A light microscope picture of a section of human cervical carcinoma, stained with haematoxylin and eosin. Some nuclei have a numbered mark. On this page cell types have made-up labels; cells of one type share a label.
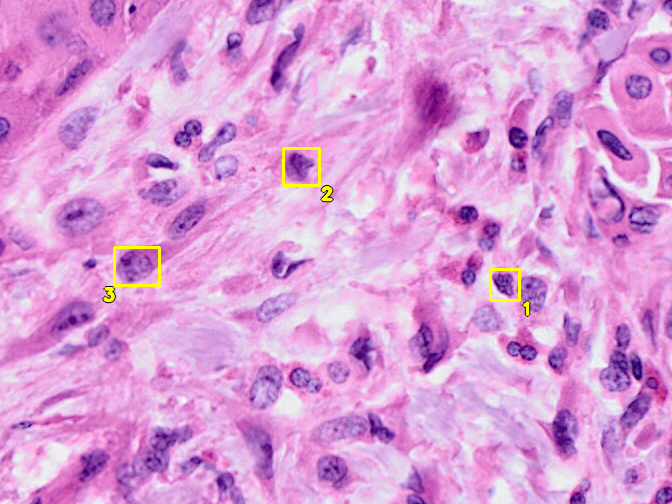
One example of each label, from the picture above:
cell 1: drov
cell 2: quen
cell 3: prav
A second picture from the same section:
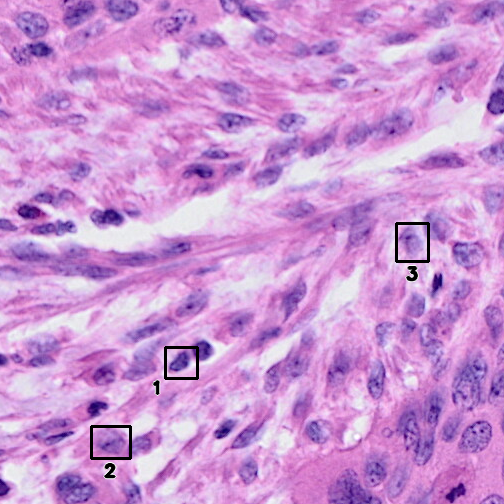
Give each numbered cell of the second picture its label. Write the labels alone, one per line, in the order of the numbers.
drov
quen
prav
